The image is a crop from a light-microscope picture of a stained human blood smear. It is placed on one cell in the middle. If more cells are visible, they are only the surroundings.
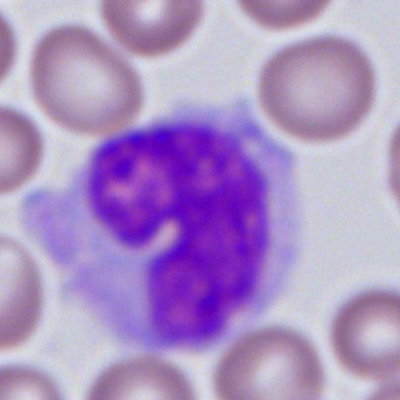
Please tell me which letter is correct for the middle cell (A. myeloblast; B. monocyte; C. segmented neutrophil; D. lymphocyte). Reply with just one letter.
B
